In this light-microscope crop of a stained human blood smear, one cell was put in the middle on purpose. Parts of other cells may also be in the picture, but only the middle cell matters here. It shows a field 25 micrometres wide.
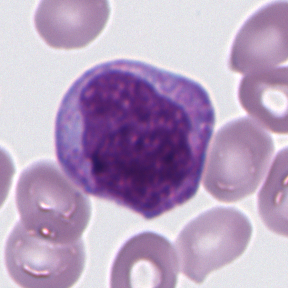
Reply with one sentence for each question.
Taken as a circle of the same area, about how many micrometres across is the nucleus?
Taken as a circle, the nucleus has a diameter of about 11 micrometres.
